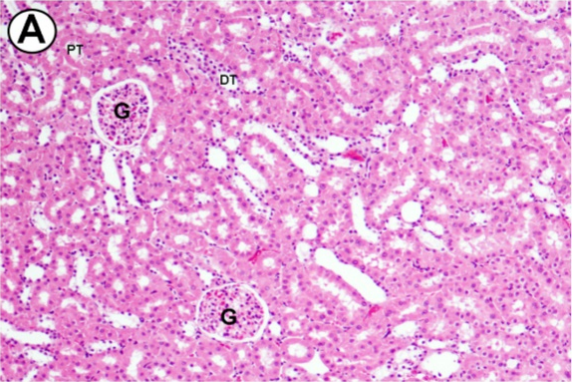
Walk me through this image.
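Renal cortex with glomeruli, Bowman's capsules and convoluted tubules. Two round glomeruli appear as compact tufts of capillaries dotted with purple nuclei, each surrounded by a narrow clear space and a thin capsule. Around them lie tubules cut in many planes. The proximal convoluted tubules have a deeply pink, granular cytoplasm, cuboidal cells with round nuclei and narrow, somewhat irregular lumens. Distal convoluted tubules are paler with more numerous nuclei per cross-section and wider, clearer lumens. Thin interstitium separates the tubules, with a few small blood vessels containing red cells. No clusters of inflammatory cells are seen.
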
